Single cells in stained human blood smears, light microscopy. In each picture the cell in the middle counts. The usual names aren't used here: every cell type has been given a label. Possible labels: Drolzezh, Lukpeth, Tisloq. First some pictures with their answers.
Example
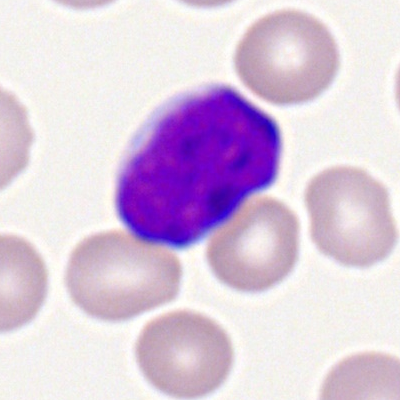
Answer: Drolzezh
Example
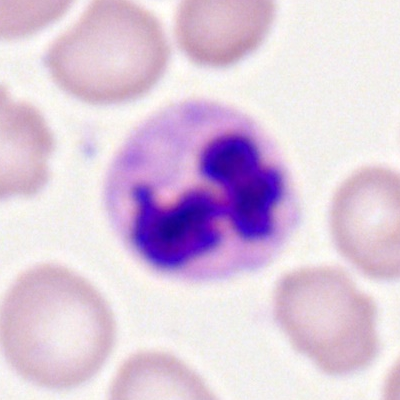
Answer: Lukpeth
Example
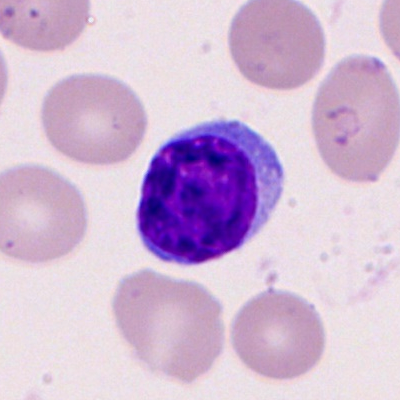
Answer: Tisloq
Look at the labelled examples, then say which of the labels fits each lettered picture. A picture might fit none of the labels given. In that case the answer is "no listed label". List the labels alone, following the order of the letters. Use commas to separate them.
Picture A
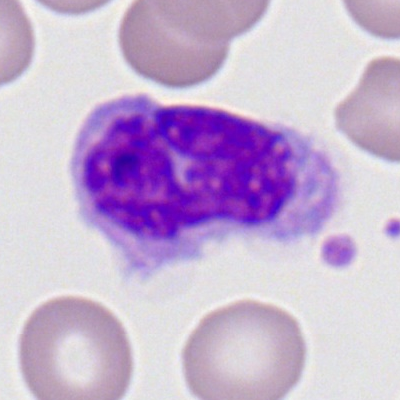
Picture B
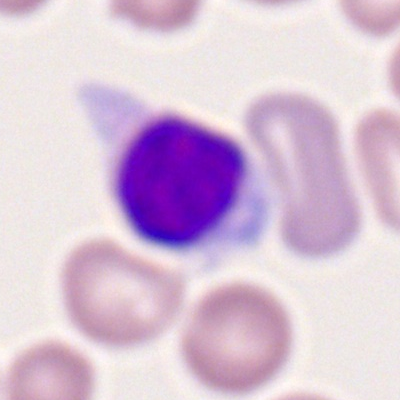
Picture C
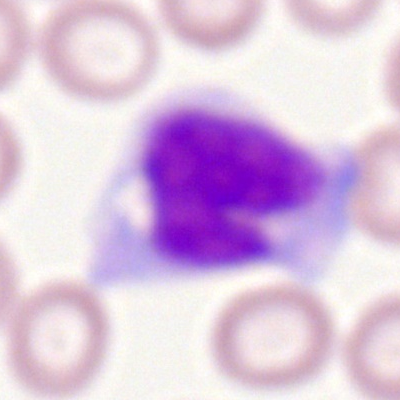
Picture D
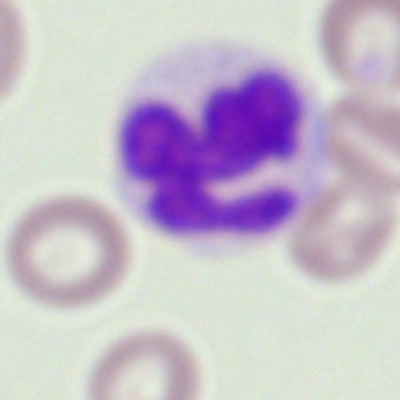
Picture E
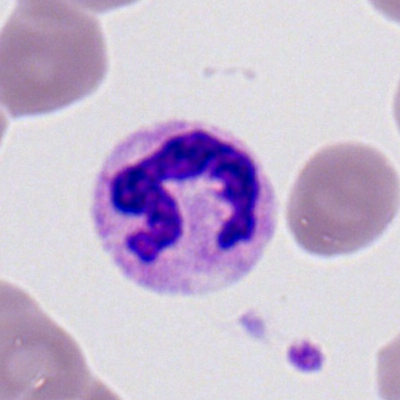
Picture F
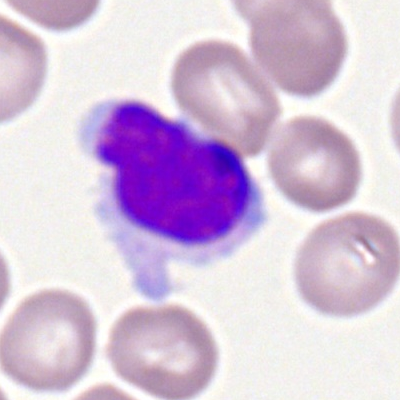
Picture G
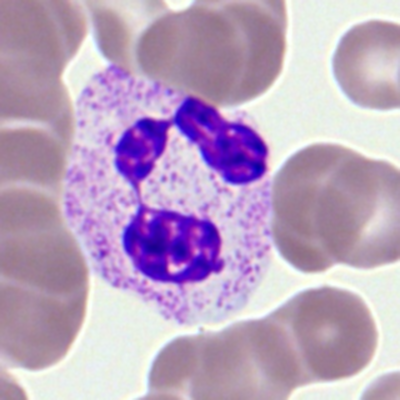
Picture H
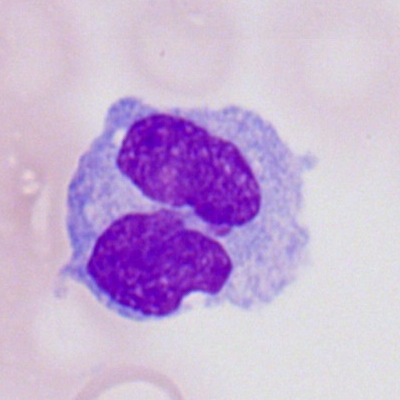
no listed label, Tisloq, no listed label, no listed label, Lukpeth, Tisloq, Lukpeth, no listed label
